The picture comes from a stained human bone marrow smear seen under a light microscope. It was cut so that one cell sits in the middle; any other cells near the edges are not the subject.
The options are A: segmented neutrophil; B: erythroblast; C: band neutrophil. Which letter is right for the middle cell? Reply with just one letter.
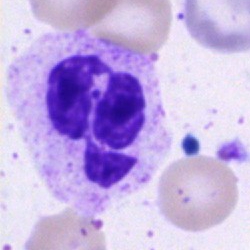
A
